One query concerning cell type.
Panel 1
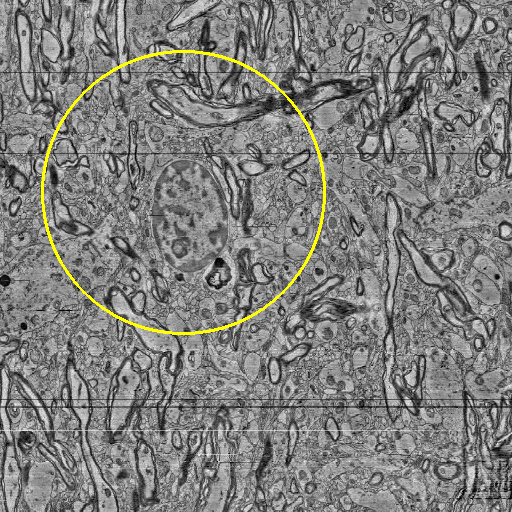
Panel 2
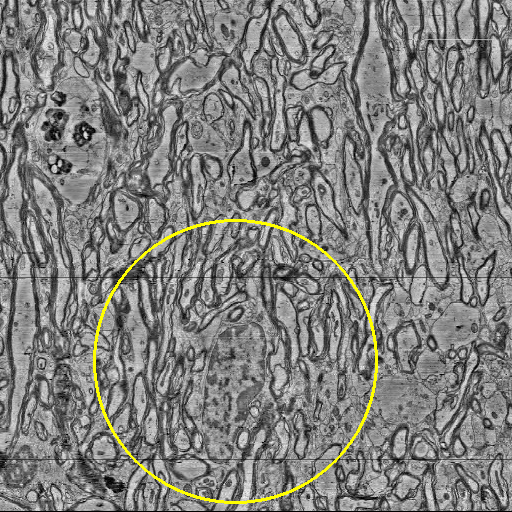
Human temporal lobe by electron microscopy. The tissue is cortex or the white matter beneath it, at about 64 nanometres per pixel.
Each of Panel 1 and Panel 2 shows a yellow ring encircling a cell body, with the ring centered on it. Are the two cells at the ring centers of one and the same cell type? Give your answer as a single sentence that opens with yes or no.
Yes, the cell centered in Panel 1 and the one in Panel 2 share a type.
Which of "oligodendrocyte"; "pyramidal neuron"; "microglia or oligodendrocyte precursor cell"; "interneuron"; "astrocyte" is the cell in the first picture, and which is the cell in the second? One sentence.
Each one of the two ringed cells is a microglial cell or oligodendrocyte precursor cell.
